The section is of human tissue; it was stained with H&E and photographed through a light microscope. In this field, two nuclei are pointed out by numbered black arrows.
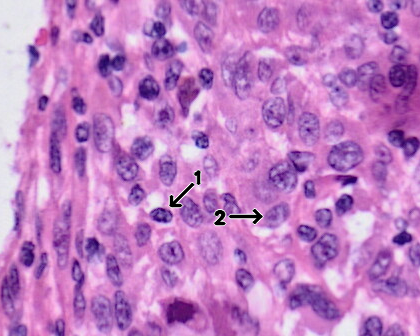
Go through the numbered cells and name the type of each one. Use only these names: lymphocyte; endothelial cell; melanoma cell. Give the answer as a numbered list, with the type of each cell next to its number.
1. lymphocyte
2. melanoma cell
